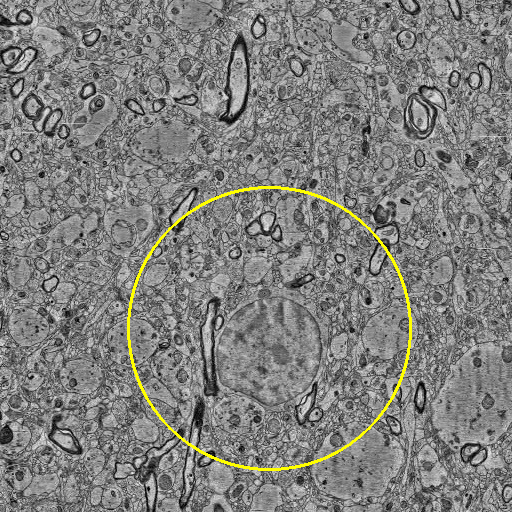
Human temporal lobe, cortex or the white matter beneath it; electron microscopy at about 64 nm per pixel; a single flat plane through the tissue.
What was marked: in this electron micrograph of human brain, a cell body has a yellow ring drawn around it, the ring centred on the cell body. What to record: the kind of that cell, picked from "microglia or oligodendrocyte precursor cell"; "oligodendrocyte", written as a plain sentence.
The centred cell is an oligodendrocyte.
